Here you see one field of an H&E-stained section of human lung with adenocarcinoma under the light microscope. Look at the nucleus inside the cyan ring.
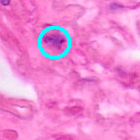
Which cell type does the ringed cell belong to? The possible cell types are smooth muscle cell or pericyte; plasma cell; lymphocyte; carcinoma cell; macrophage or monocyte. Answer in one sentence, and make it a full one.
At the level of cell identity, the ringed cell is a smooth muscle cell or pericyte.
